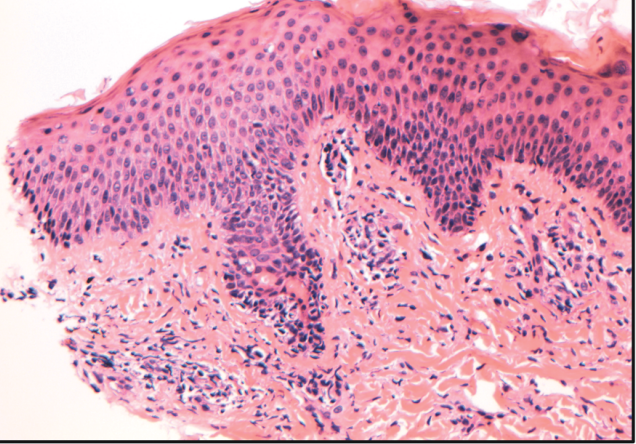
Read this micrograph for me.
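This is skin with a thick epidermis of keratinocytes above and dermis below. The keratinocytes are stacked in many layers with round purple nuclei, under a compact pink cornified surface. The dermal collagen is pink and wavy with scattered spindle-shaped nuclei.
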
